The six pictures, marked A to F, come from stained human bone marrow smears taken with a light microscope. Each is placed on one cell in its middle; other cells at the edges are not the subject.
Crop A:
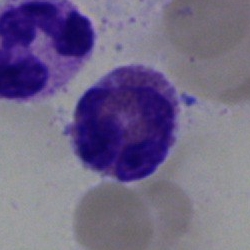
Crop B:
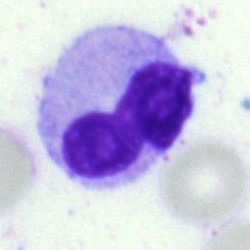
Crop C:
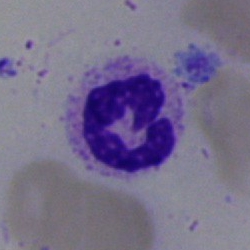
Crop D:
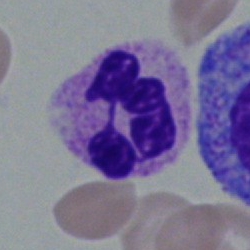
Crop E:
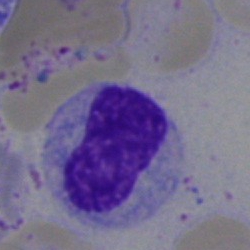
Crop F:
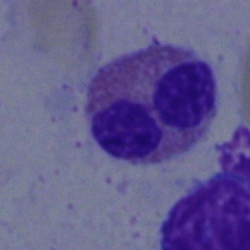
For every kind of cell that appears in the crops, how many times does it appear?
eosinophil: 2
band neutrophil: 2
segmented neutrophil: 2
